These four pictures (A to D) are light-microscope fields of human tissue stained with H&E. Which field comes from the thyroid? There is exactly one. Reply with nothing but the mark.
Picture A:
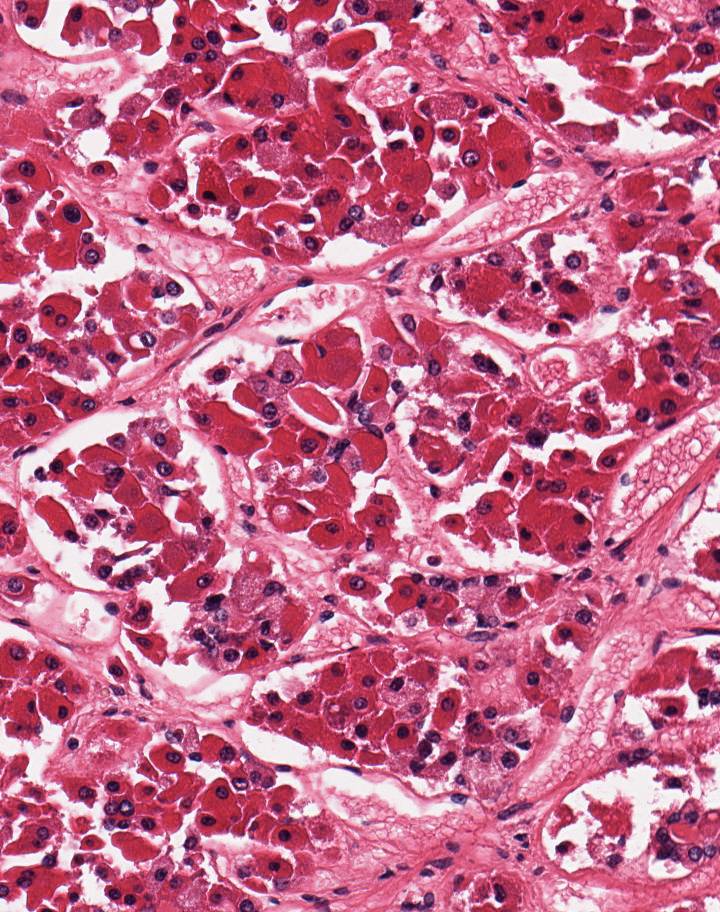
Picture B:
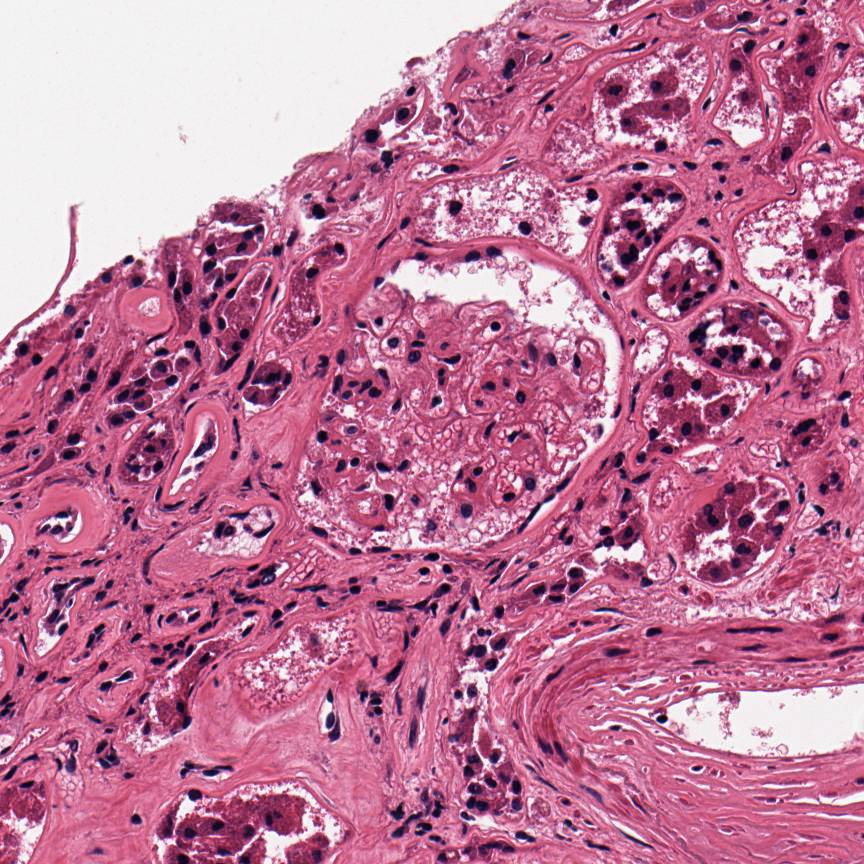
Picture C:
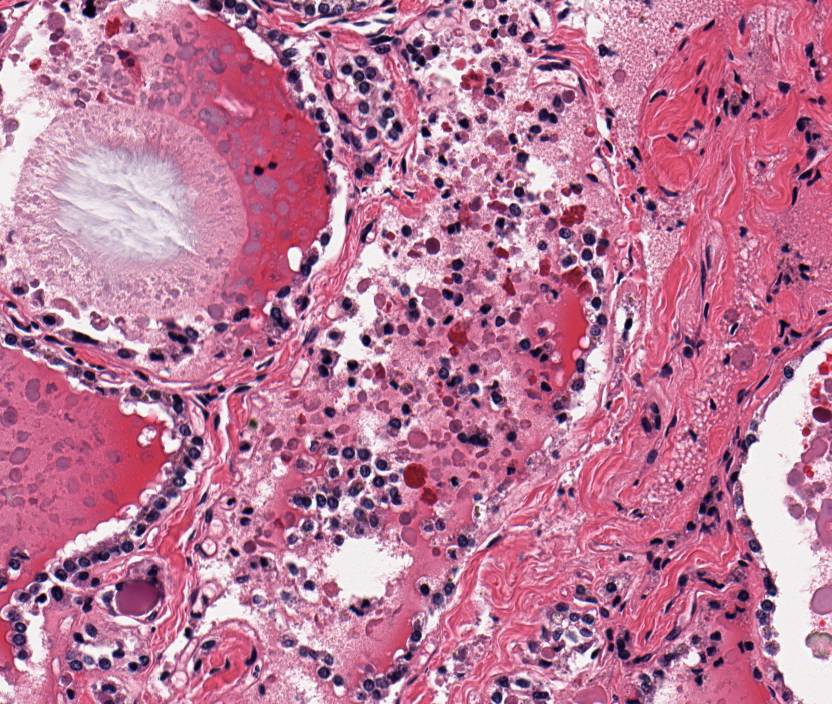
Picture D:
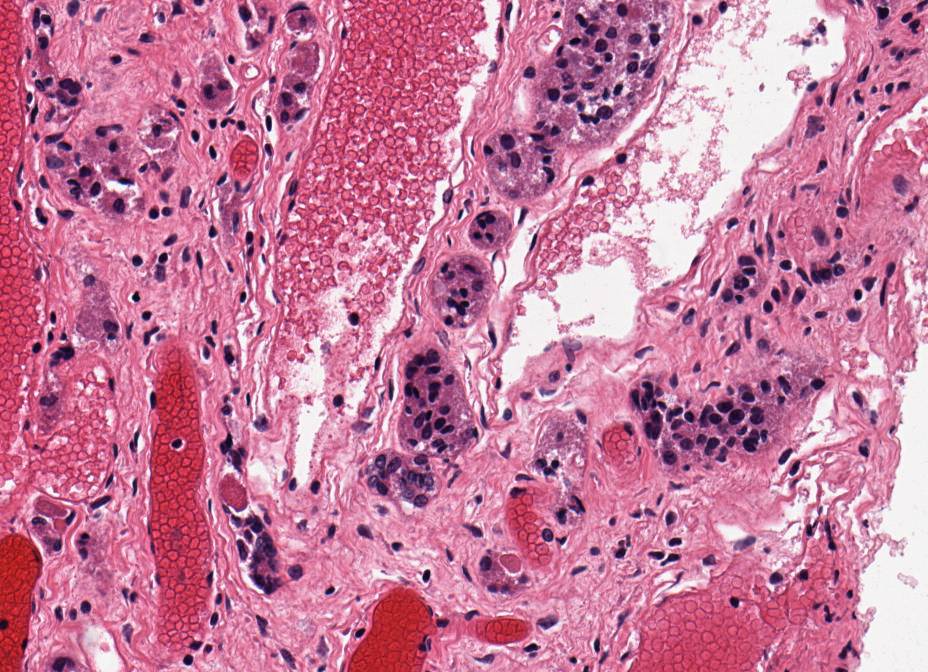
C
